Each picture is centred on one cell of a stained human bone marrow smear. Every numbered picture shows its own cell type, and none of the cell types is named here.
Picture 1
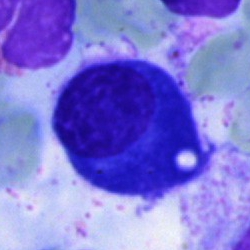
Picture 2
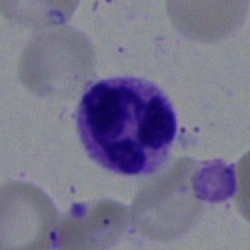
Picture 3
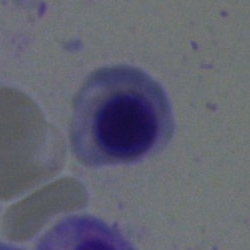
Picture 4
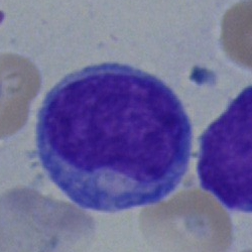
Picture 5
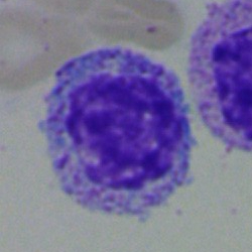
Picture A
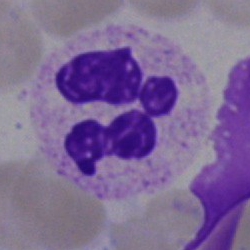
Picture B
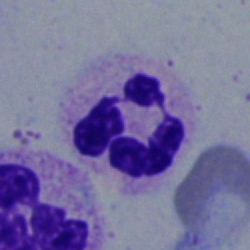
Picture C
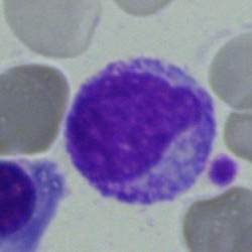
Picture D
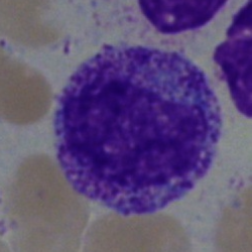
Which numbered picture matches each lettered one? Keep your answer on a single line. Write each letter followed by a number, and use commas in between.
A 2, B 2, C 5, D 5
